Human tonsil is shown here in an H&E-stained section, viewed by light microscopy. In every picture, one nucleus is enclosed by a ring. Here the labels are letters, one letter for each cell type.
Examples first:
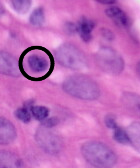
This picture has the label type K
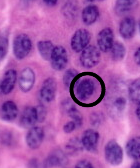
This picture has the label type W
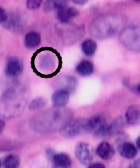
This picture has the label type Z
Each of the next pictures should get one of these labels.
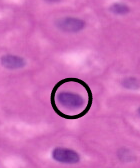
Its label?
type K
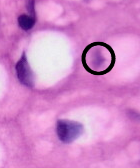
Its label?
type K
